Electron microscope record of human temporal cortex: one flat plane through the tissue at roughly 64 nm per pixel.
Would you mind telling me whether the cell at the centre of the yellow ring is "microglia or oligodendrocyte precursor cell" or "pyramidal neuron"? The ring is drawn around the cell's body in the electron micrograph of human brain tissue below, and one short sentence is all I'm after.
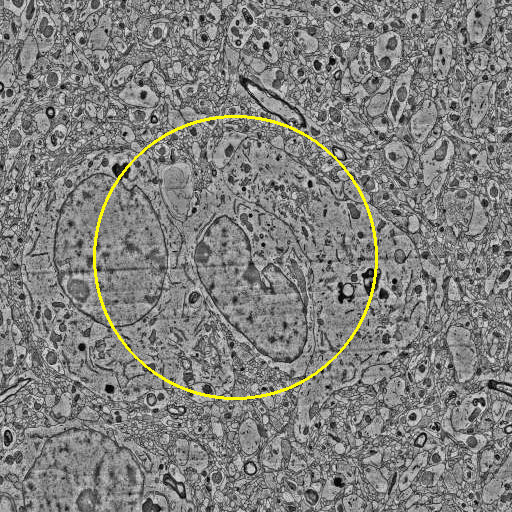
In the centre of the ring lies a microglial cell or oligodendrocyte precursor cell.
